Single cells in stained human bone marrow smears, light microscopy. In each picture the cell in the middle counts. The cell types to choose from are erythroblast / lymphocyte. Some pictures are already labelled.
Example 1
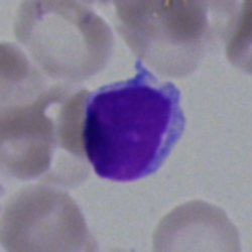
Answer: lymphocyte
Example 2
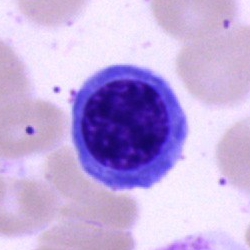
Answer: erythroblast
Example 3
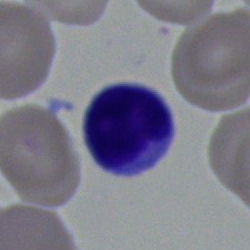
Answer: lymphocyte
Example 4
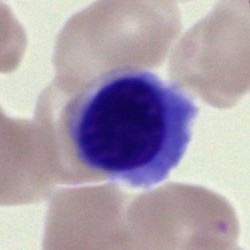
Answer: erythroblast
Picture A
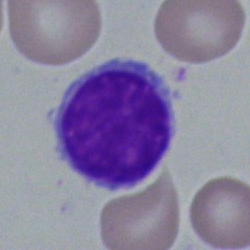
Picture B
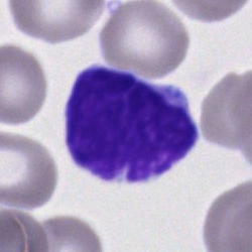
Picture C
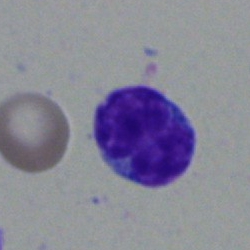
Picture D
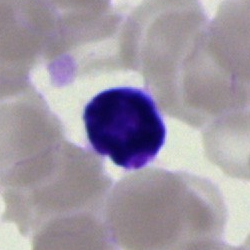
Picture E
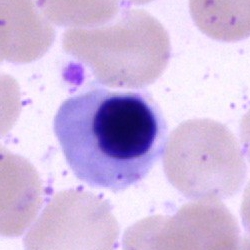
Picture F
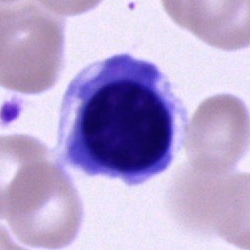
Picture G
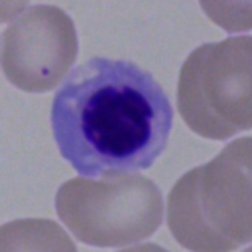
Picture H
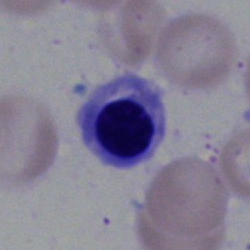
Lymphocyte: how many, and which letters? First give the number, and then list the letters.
4: A, B, C, D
